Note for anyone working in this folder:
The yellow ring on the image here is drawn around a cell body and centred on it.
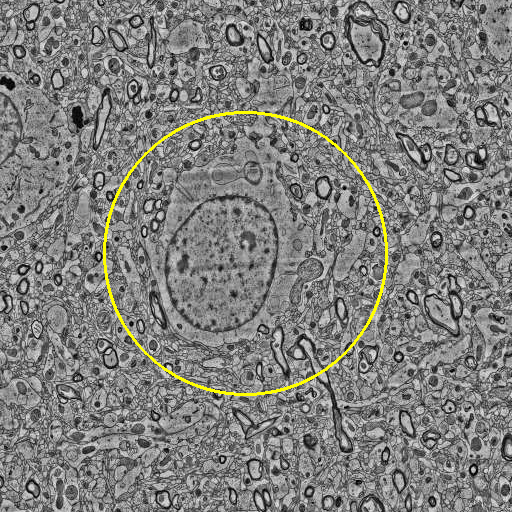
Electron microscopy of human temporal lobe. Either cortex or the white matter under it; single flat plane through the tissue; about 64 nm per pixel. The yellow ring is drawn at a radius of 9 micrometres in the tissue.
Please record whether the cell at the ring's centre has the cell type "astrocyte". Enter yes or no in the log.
yes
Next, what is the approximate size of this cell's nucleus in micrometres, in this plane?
Approximately 9 by 7 micrometers in this plane.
